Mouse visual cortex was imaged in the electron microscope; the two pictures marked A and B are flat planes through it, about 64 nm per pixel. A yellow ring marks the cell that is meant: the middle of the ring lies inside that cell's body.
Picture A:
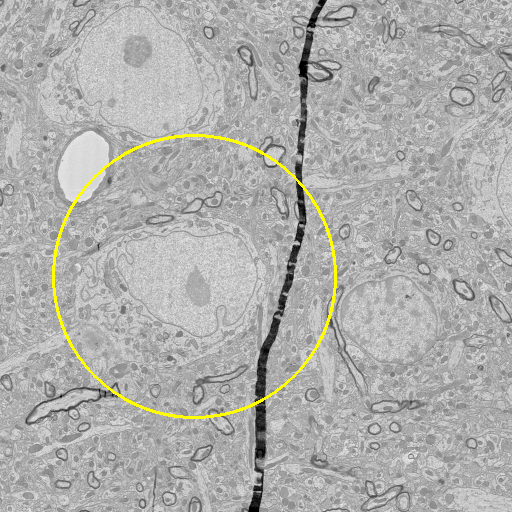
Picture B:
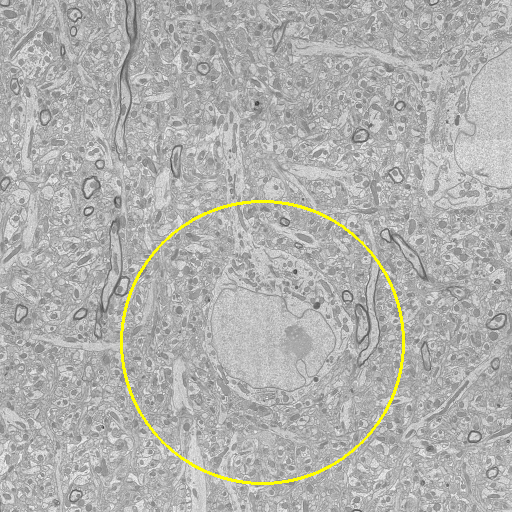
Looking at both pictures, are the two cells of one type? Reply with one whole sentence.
Yes, the two pictures both show inhibitory neurons.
